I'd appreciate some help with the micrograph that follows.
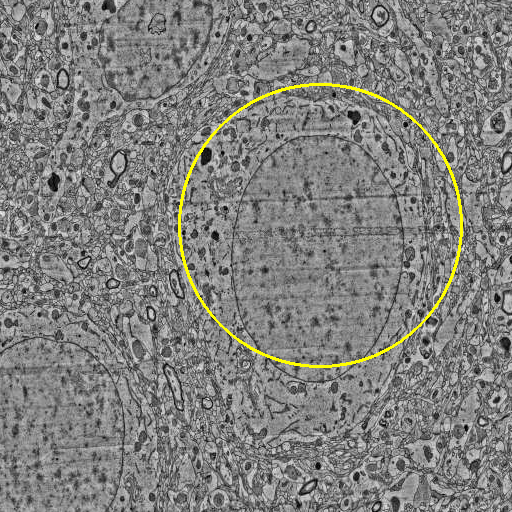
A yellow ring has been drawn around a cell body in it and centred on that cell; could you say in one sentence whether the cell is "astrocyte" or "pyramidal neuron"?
It is a pyramidal neuron at the centre of the ring.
